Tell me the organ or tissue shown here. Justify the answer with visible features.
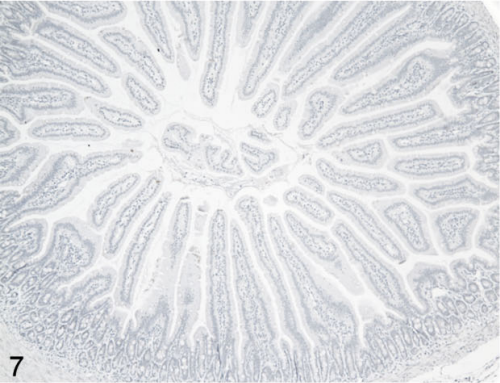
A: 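Finger-like villi radiate from the wall toward a central lumen. Villi are lined by a single layer of columnar epithelium. So: Small intestine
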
